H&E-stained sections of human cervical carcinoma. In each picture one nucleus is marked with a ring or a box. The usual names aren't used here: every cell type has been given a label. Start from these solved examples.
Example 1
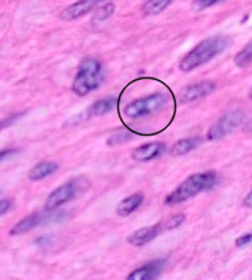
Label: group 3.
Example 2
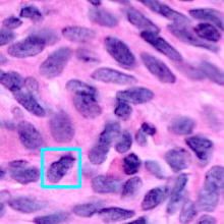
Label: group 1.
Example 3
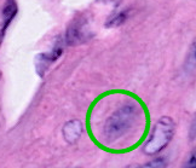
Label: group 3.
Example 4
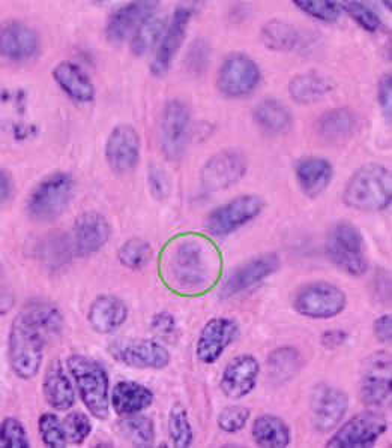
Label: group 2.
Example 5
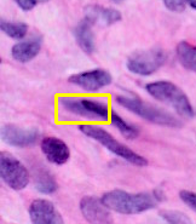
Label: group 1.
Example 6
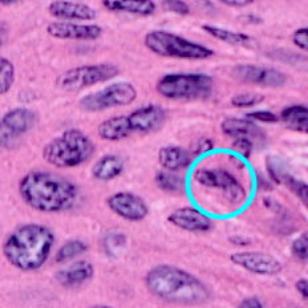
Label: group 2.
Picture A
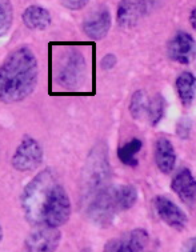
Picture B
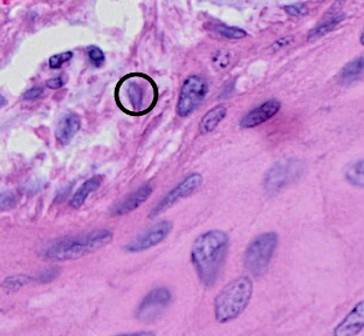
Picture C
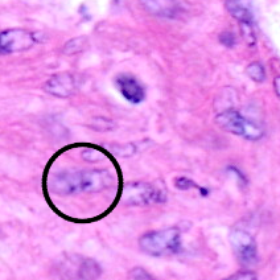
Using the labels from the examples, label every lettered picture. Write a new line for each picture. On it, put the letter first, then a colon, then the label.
A: group 2.
B: group 1.
C: group 3.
